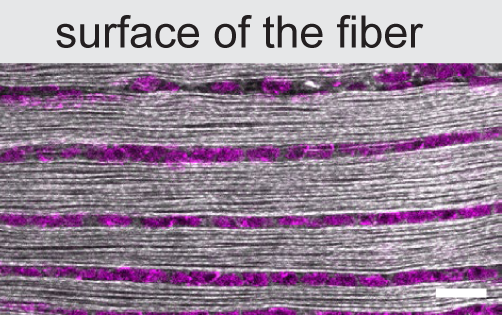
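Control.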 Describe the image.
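The grey fibrils run straight and parallel across the whole field in a fine longitudinal striping. The nuclei are lined up in narrow rows, one behind another, along the length of the fiber. These rows of nuclei lie in the spaces between bundles of fibrils, dividing the fiber into parallel strips. The arrangement is regular, with rows spaced fairly evenly from top to bottom.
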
